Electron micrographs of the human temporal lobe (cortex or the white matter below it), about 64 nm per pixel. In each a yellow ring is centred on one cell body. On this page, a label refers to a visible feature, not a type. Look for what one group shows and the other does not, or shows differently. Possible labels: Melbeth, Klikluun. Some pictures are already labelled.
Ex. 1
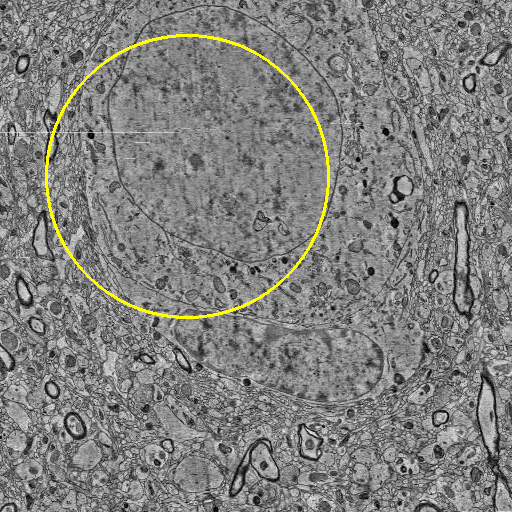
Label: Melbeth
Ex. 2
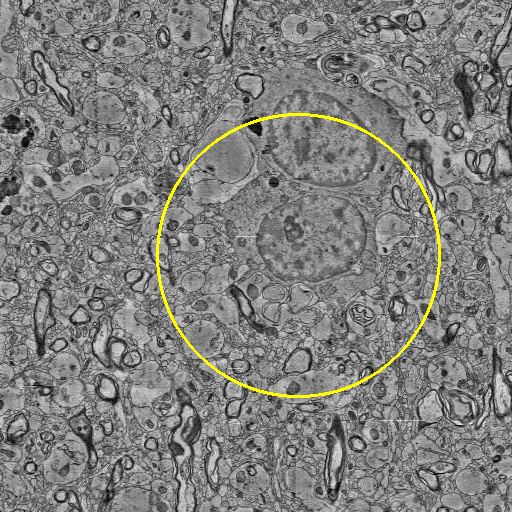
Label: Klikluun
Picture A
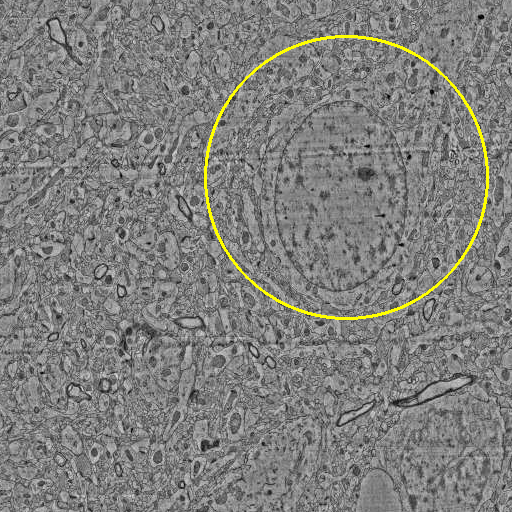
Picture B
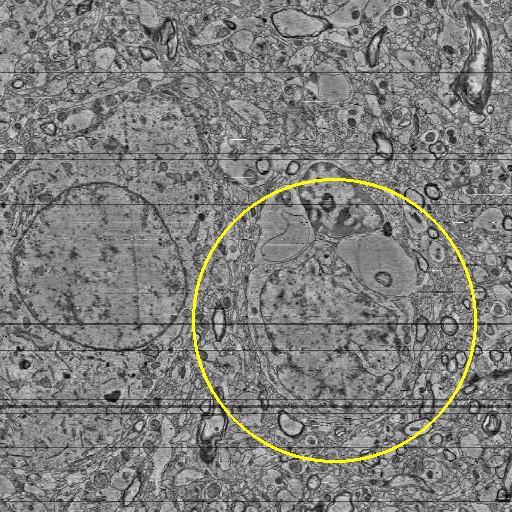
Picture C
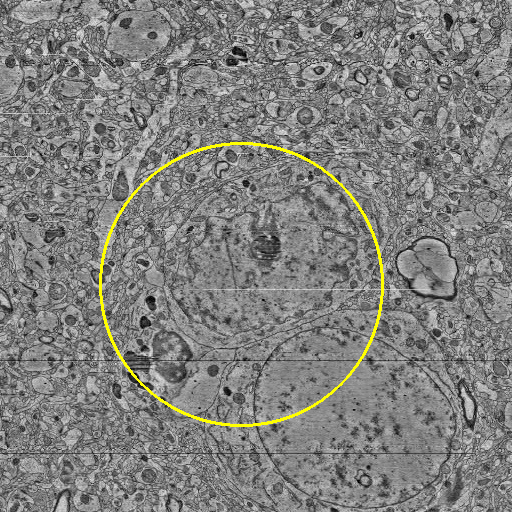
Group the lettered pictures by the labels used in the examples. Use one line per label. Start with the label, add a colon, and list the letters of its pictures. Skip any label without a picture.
Melbeth: B
Klikluun: A, C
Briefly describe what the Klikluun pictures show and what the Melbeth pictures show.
Klikluun, nucleolus seen; Melbeth, no nucleolus seen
